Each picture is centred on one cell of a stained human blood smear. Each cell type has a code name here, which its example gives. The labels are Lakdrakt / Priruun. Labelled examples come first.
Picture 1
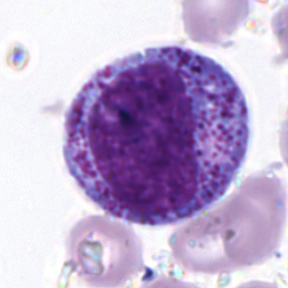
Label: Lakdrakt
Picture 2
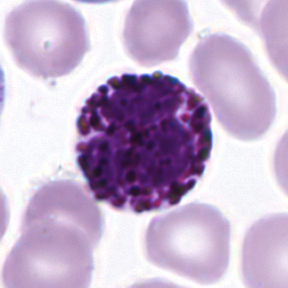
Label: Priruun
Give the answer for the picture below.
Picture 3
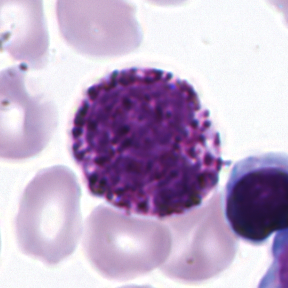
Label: Priruun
